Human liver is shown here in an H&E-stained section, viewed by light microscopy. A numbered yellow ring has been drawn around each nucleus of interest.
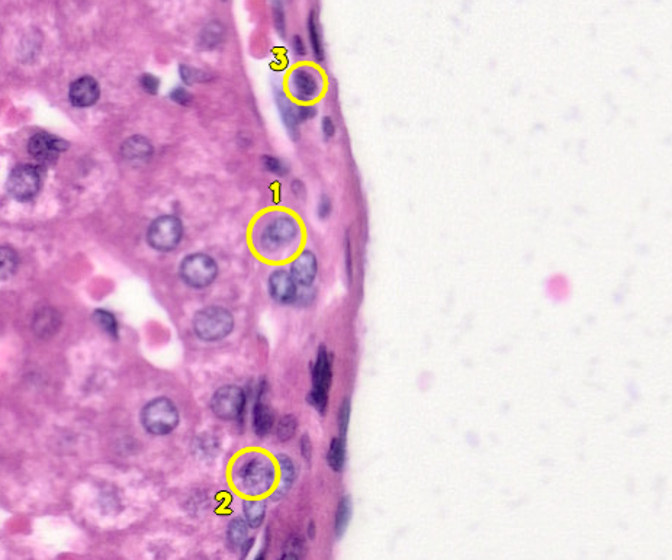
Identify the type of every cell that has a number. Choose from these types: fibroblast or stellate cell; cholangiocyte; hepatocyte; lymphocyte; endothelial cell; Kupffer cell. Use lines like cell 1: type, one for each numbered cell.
cell 1: cholangiocyte
cell 2: cholangiocyte
cell 3: fibroblast or stellate cell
